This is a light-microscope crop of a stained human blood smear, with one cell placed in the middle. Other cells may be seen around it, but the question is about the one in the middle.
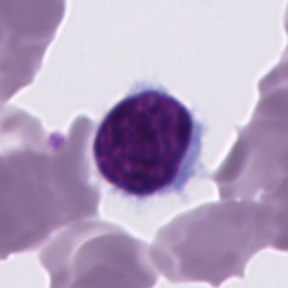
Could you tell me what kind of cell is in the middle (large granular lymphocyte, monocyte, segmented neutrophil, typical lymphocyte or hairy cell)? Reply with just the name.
hairy cell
